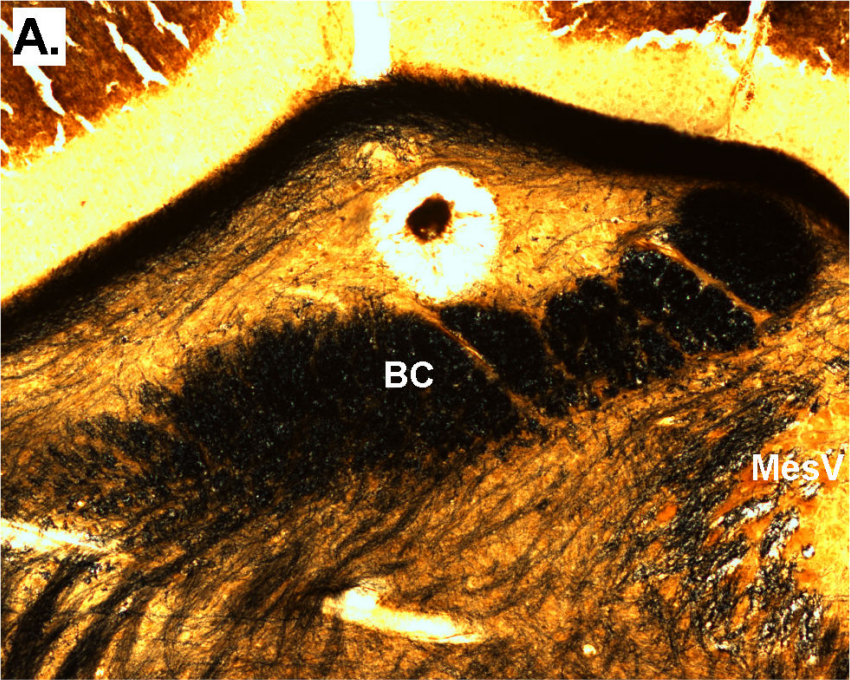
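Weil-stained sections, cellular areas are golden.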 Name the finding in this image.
Lesions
